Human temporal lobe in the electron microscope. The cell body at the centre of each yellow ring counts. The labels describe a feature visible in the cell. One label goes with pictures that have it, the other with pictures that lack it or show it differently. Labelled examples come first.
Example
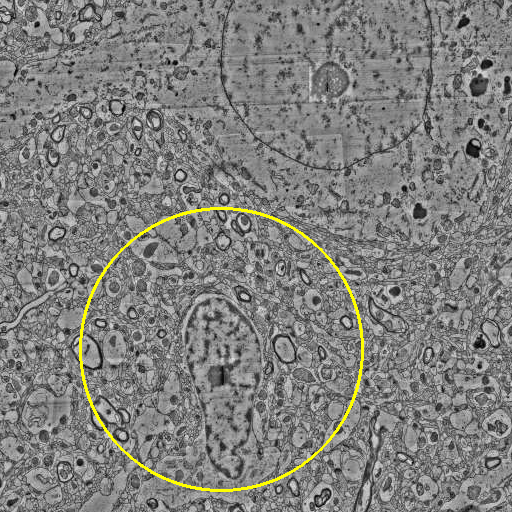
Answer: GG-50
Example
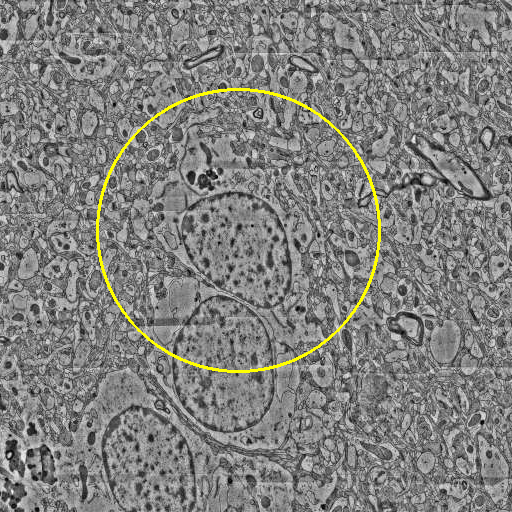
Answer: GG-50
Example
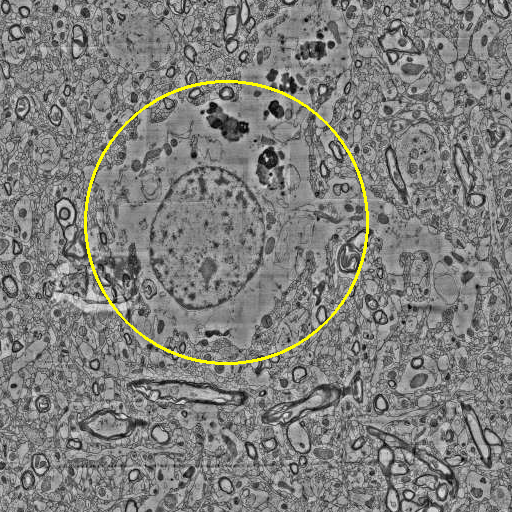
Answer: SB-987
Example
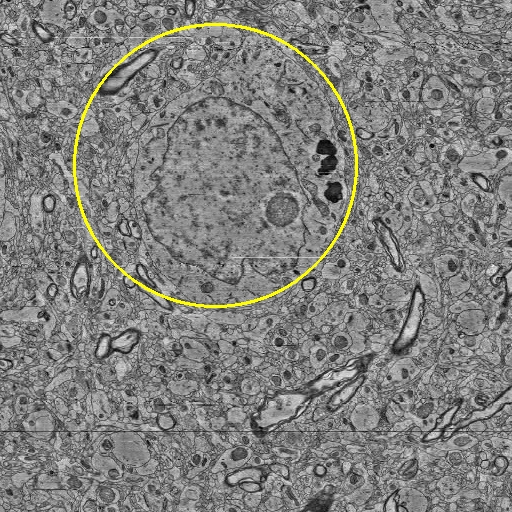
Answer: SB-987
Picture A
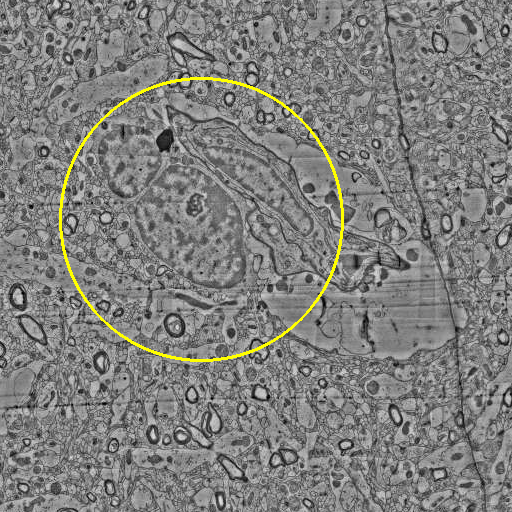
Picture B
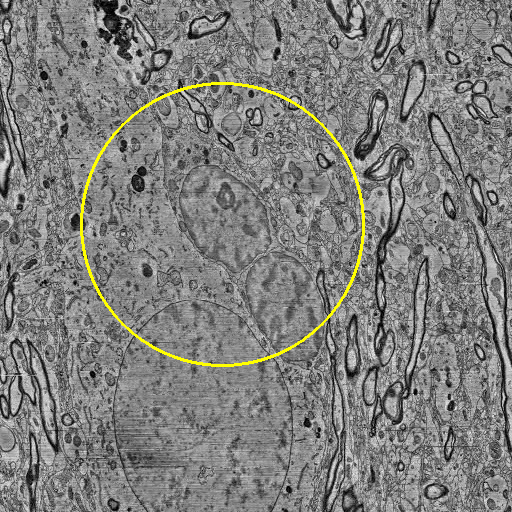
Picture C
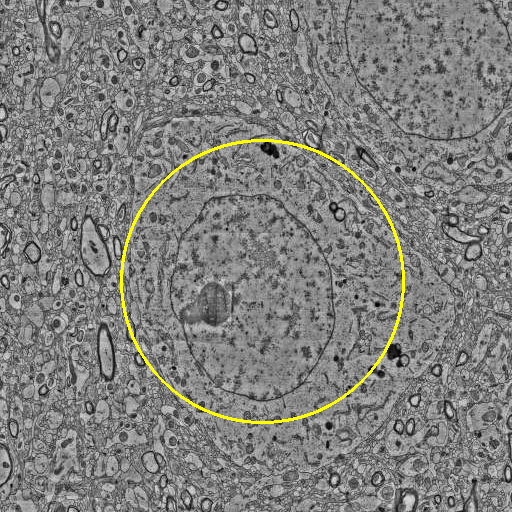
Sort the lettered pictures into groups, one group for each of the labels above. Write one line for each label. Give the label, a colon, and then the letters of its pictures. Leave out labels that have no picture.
SB-987: A, B, C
